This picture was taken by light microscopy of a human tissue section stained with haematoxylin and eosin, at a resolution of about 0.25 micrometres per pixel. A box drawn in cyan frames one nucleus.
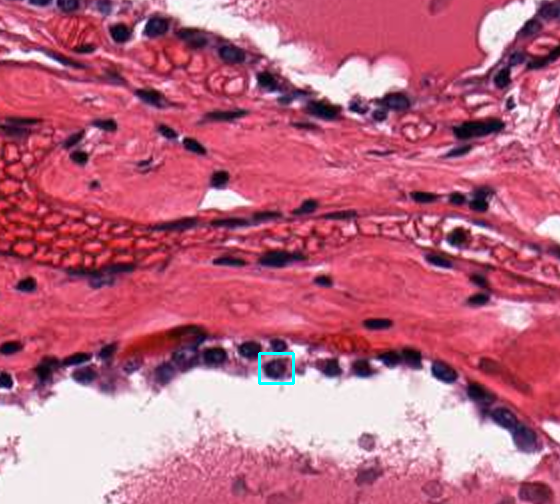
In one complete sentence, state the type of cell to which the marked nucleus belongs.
The mark indicates the nucleus of a thyroid follicular cell.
